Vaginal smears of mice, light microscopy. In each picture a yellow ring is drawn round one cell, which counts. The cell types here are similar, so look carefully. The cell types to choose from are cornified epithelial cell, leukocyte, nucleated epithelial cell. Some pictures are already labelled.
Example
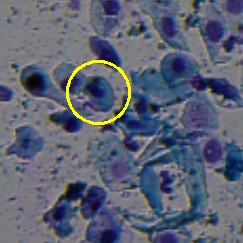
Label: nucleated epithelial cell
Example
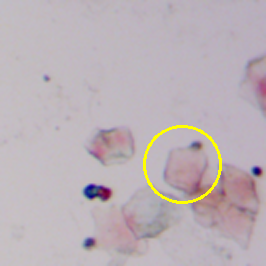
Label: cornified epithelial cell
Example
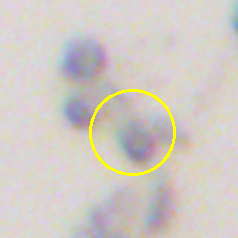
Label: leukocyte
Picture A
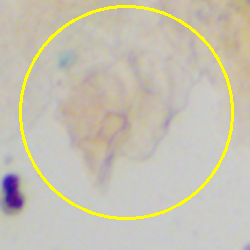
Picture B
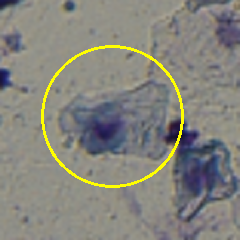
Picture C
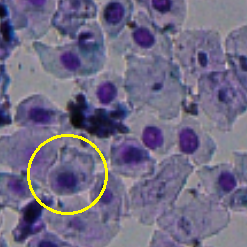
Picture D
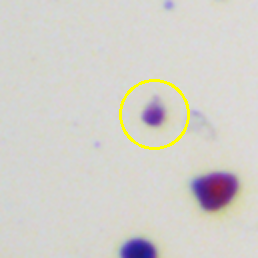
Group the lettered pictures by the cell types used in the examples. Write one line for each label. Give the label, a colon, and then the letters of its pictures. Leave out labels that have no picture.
cornified epithelial cell: A
leukocyte: D
nucleated epithelial cell: B, C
